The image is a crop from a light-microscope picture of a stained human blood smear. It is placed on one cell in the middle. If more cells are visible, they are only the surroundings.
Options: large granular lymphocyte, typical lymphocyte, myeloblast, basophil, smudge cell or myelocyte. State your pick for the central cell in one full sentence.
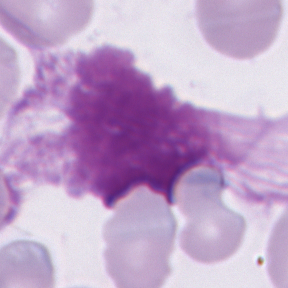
The cell centered in this field of view is a smudge cell.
